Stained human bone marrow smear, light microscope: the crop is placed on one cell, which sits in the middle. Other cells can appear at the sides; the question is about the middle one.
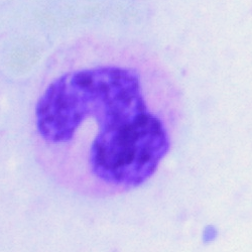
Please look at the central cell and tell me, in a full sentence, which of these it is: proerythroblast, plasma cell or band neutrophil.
The centrally positioned cell in the crop represents a band neutrophil.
